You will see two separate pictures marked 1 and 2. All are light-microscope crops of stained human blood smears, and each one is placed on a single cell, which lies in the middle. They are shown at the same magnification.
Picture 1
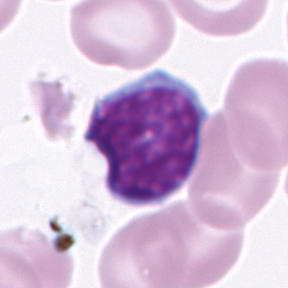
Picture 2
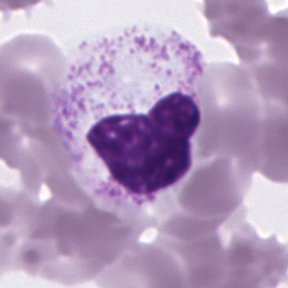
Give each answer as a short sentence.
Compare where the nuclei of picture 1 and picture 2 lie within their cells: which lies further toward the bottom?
The nucleus in picture 2 lies further toward the bottom of its cell.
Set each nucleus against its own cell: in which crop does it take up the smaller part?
In picture 2 the nucleus takes up the smaller part of its cell.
